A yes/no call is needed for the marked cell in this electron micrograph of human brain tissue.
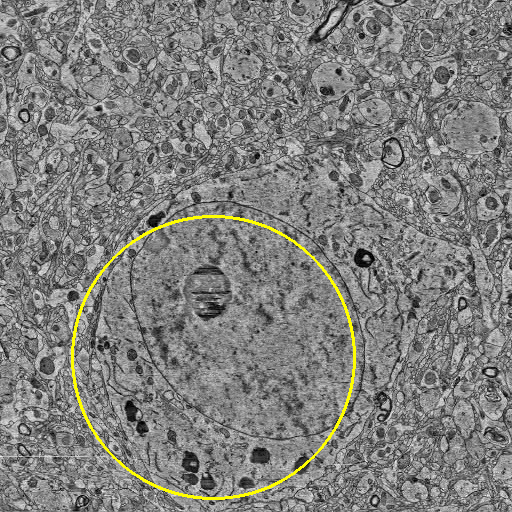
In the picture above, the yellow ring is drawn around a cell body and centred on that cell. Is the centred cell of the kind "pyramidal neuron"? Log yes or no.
yes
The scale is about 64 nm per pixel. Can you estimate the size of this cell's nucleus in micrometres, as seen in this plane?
About 18 by 13 micrometers, in this plane.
